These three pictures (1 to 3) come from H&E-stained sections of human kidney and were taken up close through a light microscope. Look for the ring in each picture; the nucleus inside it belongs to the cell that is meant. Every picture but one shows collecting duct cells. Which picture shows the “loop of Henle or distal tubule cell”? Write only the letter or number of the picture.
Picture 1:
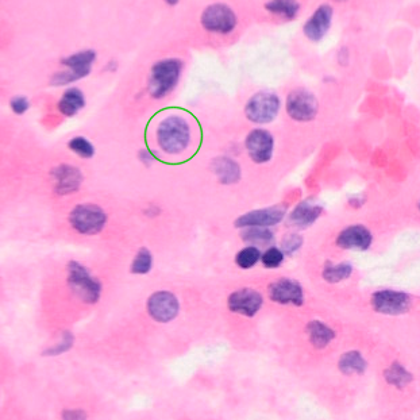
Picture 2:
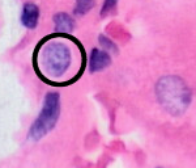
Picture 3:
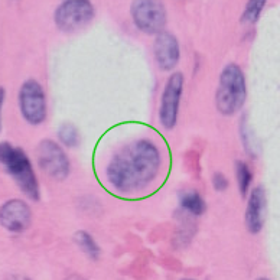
1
